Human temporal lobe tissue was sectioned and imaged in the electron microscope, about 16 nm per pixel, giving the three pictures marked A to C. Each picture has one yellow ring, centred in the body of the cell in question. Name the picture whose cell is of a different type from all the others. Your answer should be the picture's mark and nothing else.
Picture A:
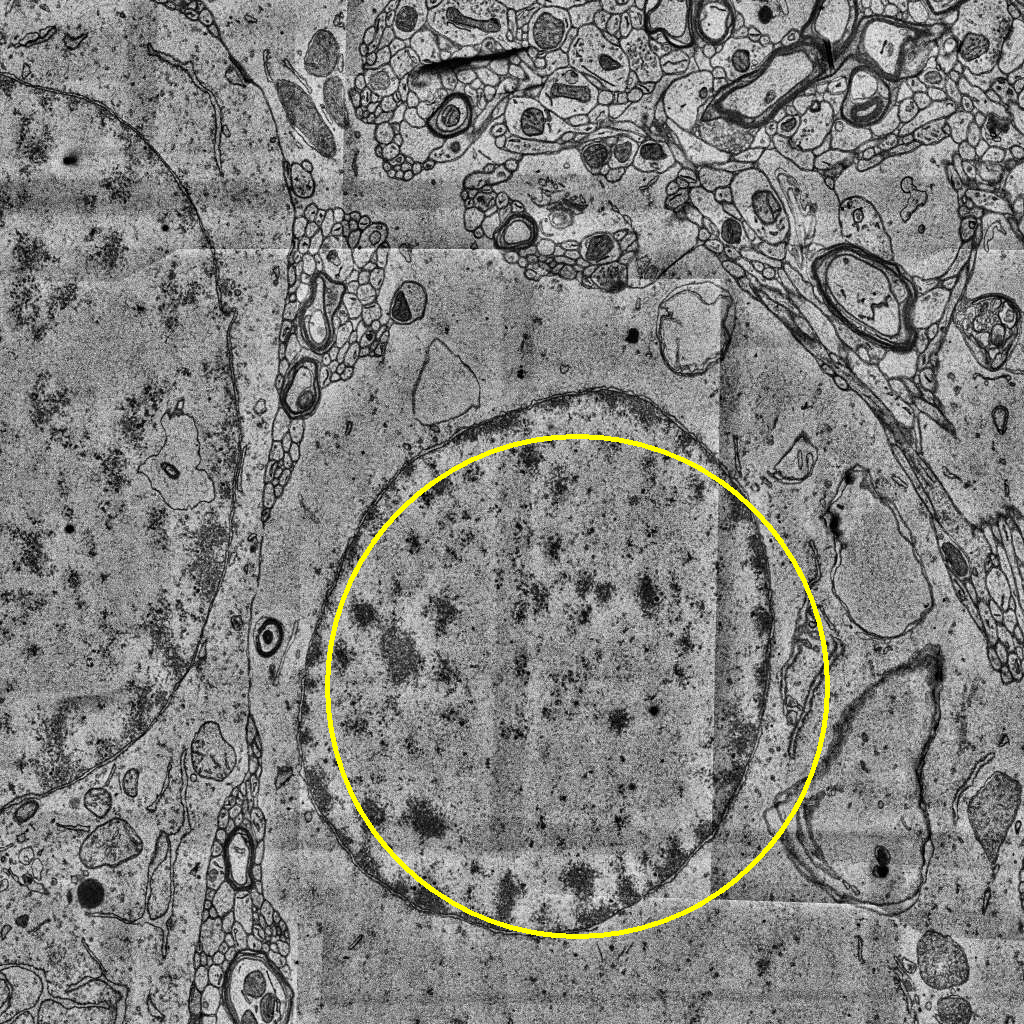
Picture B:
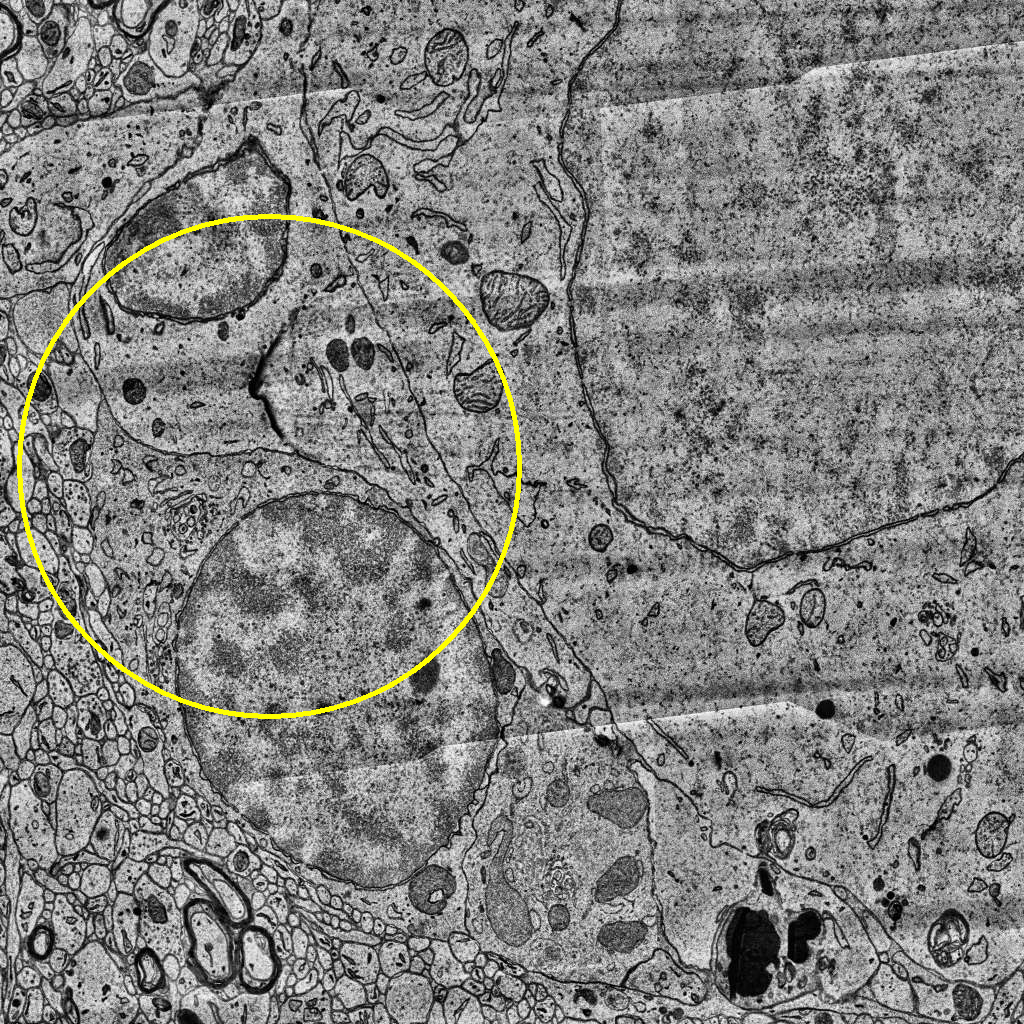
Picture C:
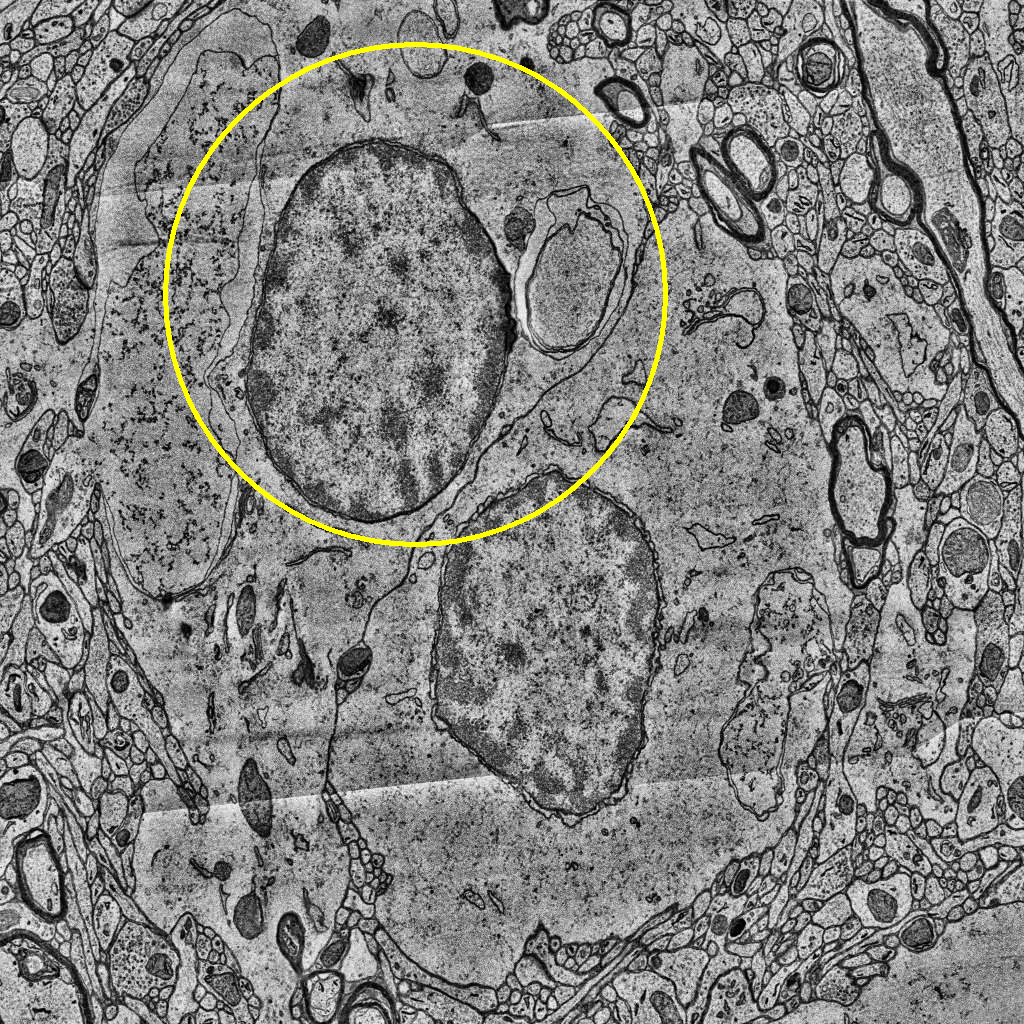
B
